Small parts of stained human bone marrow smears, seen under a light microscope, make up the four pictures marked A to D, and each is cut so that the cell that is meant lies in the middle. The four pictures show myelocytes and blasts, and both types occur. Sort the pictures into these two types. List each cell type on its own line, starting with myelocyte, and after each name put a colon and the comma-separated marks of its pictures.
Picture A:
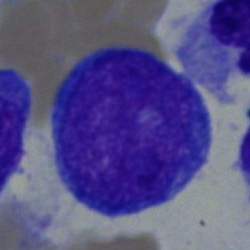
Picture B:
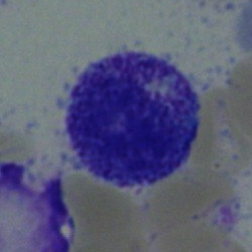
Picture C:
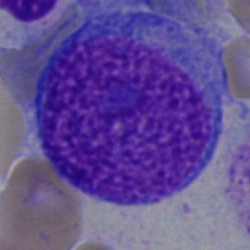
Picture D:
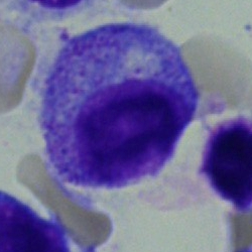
myelocyte: B, D
blast: A, C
